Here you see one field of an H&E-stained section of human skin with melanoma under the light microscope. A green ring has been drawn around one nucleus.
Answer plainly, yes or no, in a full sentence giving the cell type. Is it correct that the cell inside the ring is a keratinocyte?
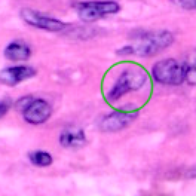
No, the cell inside the ring corresponds to an endothelial cell rather than to a keratinocyte.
